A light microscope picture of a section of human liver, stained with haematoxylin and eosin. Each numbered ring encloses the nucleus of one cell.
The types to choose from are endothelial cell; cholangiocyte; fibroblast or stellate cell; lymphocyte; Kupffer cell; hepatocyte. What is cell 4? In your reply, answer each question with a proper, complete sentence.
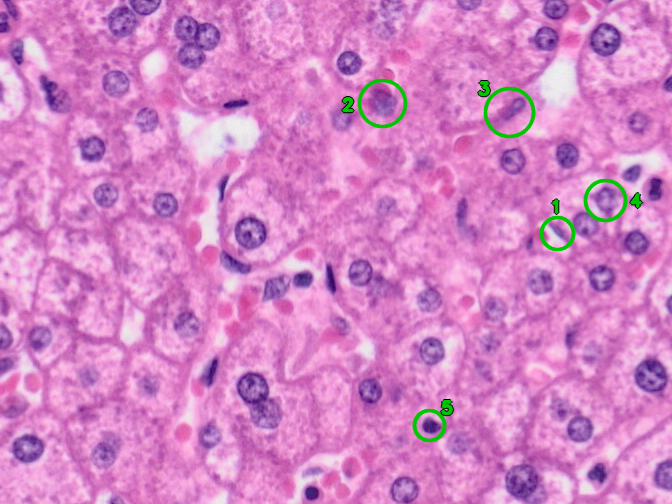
The cell identified by the number 4 is a hepatocyte.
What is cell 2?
The identity of cell 2 is that of an endothelial cell.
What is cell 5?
The cell given label 5 is a lymphocyte.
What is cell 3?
At number 3, the marked cell is a Kupffer cell.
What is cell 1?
The nucleus marked 1 is the nucleus of an endothelial cell.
